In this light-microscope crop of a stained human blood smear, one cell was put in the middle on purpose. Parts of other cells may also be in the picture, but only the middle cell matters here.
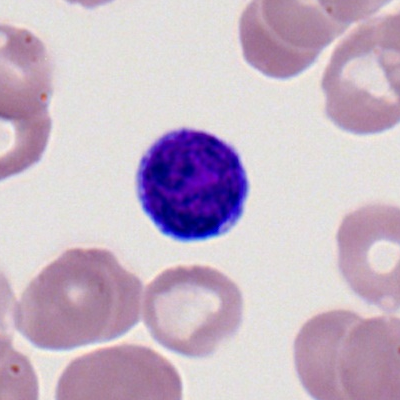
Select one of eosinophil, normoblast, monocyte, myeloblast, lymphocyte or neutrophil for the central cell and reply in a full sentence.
The middle of this crop holds a lymphocyte.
